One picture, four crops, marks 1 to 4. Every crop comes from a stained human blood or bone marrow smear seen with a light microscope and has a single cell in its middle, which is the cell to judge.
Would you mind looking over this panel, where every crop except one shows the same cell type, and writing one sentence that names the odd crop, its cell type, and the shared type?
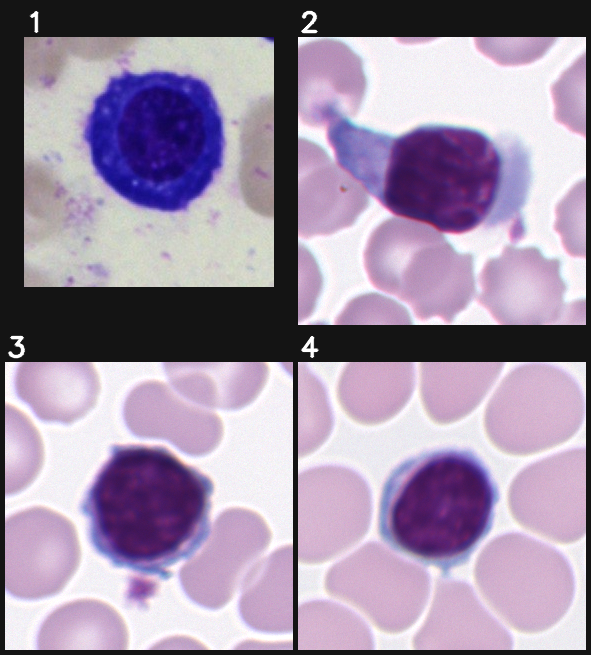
Only in crop 1 is there a plasma cell; all other crops show lymphocytes.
